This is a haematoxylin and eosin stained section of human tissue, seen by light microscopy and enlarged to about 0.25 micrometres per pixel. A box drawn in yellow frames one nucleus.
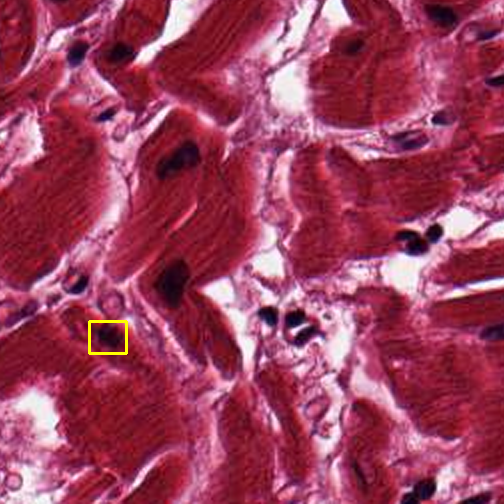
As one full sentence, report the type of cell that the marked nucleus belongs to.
The marked nucleus is part of a cardiomyocyte.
